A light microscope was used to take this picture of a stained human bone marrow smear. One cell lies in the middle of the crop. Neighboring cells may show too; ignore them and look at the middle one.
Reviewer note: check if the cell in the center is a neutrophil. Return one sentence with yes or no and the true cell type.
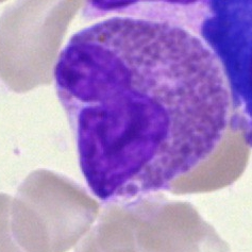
No, the central cell is counted as an eosinophil instead of a neutrophil.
